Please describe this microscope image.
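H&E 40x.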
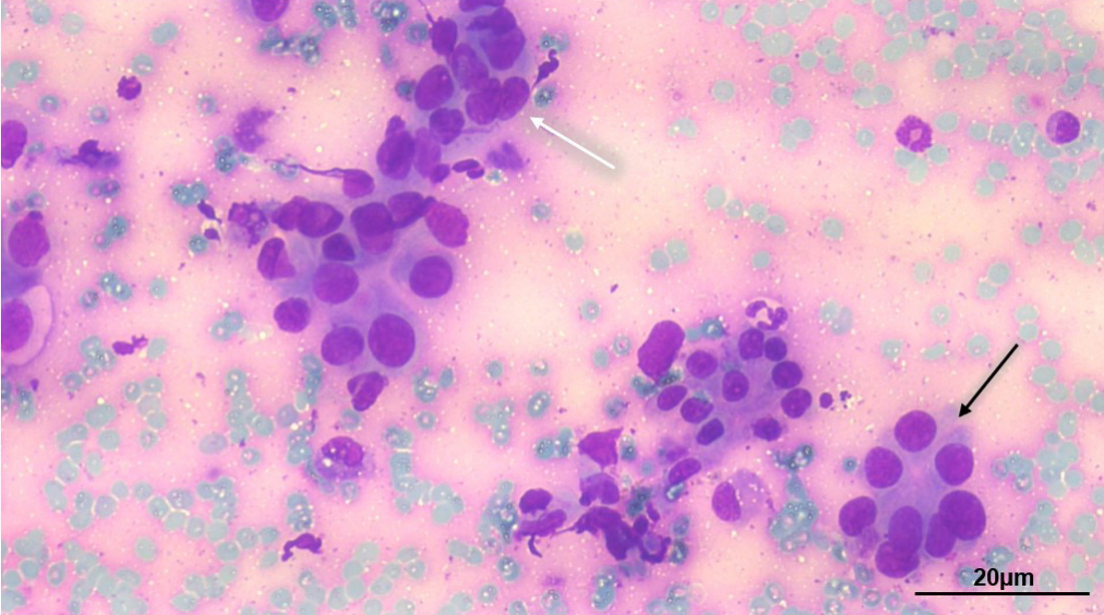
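Cytology smear with cohesive groups of pleomorphic cells lying among many pale red blood cells and a few scattered white blood cells. The cells have large, round to oval, dark purple nuclei that vary in size, with only scarce, pale purple cytoplasm whose borders are poorly defined, giving a high nucleus to cytoplasm ratio. In one cluster the nuclei press against each other and flatten where they meet. In another small cluster the nuclei are arranged in a ring around a central space, forming an acinus-like group. Some larger cells and nuclei stand out from their neighbours.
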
